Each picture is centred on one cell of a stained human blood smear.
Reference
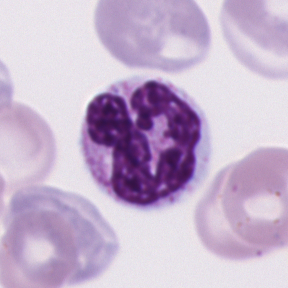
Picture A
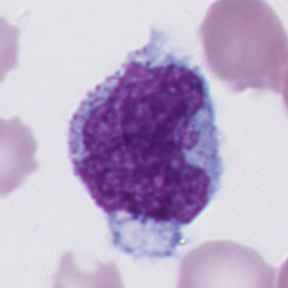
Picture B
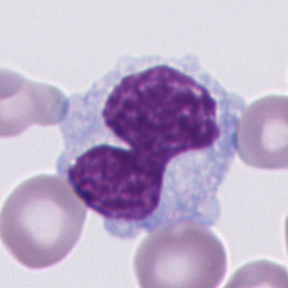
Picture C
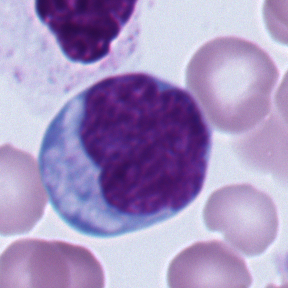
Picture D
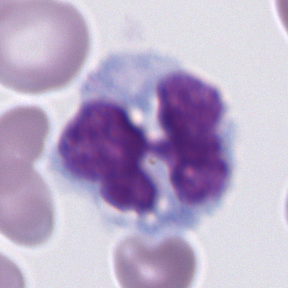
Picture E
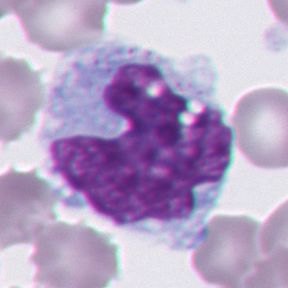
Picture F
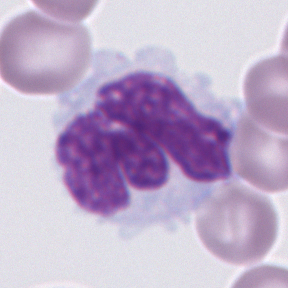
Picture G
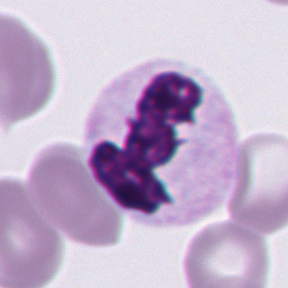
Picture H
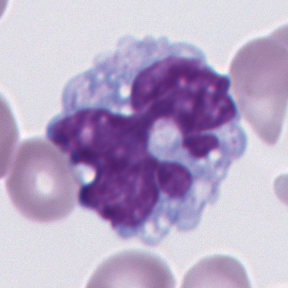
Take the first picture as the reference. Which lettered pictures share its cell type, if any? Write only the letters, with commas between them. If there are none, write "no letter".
G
